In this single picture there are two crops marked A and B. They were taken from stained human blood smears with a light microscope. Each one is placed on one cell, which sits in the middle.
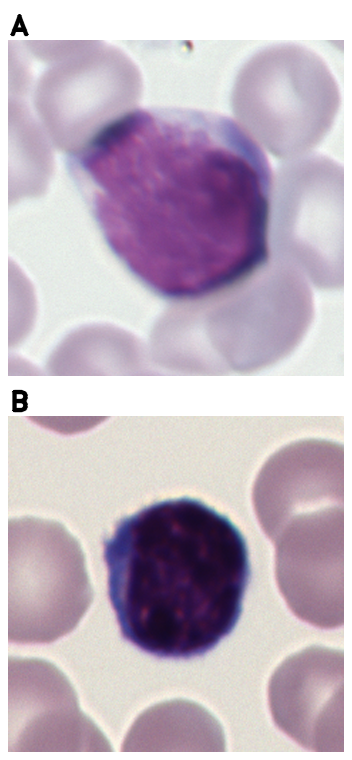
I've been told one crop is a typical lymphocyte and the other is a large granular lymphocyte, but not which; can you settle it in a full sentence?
Crop A holds a large granular lymphocyte; crop B holds a typical lymphocyte.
